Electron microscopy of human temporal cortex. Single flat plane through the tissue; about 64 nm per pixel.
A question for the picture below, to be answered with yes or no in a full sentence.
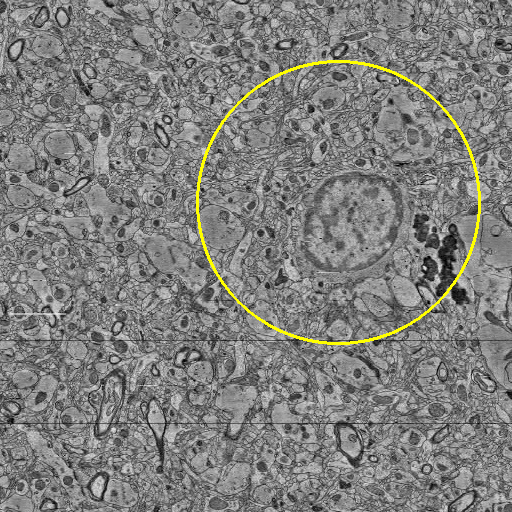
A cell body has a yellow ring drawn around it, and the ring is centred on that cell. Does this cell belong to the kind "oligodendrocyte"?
Yes, the pictured cell at the ring's centre belongs to that kind.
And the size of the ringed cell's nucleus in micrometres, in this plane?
Approximately 7 by 6 micrometers in this plane.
